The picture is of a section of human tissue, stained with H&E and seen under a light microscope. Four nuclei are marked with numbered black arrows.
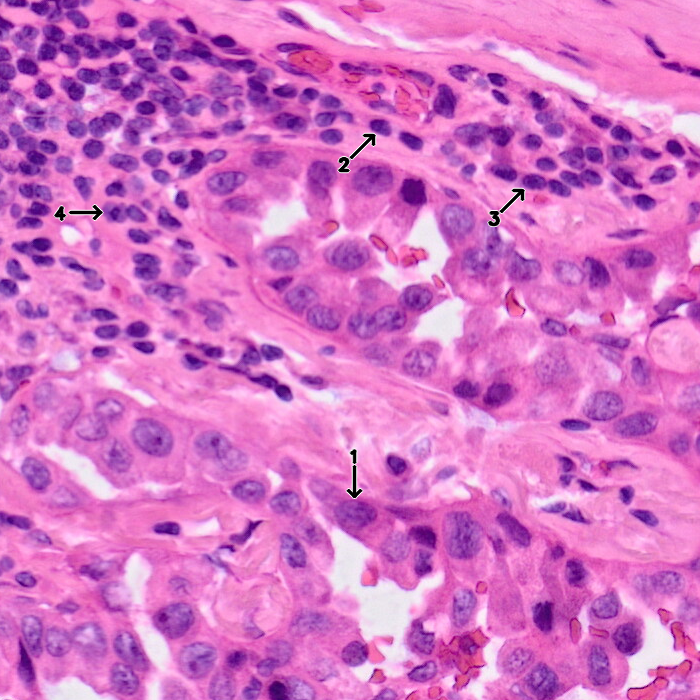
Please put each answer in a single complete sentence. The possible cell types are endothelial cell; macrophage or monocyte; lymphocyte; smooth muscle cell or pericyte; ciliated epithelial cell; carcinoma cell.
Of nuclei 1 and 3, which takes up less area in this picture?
Nucleus 3 is the smaller one; nucleus 1 covers about 4 times its area.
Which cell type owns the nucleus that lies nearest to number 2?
Closest to number 2 lies the nucleus of an endothelial cell.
